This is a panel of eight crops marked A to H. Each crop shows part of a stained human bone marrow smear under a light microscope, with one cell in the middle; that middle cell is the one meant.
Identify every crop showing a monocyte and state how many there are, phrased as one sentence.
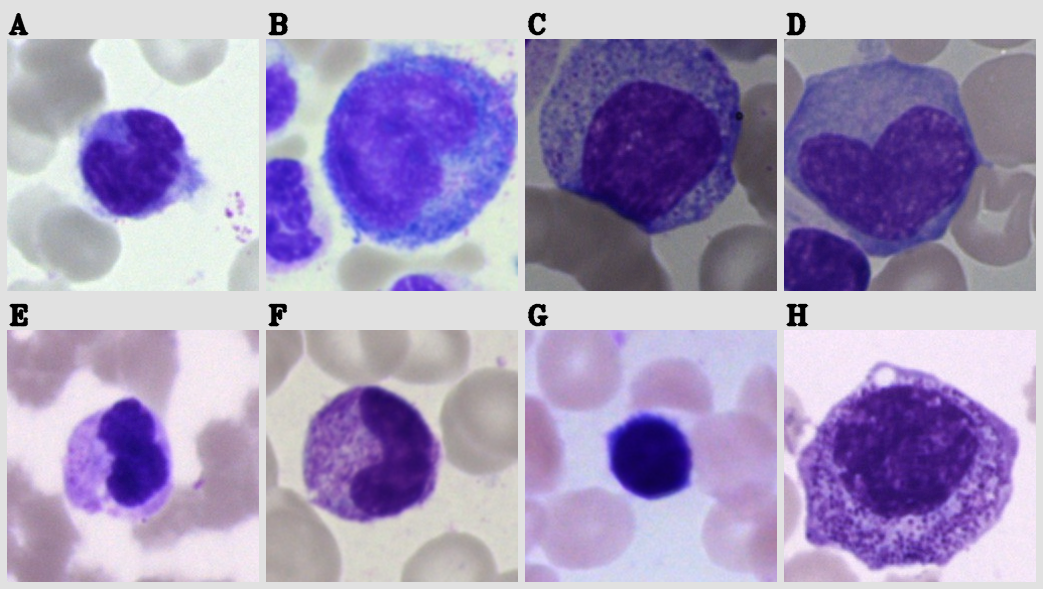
Crops showing monocytes are A and D, so two altogether.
